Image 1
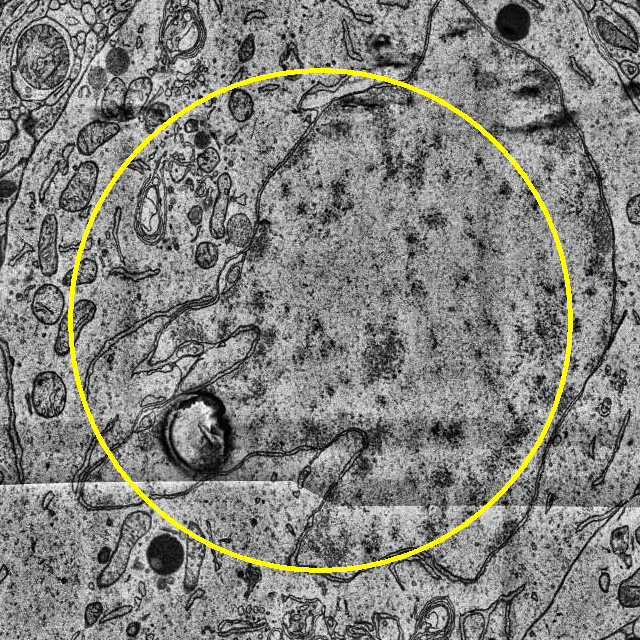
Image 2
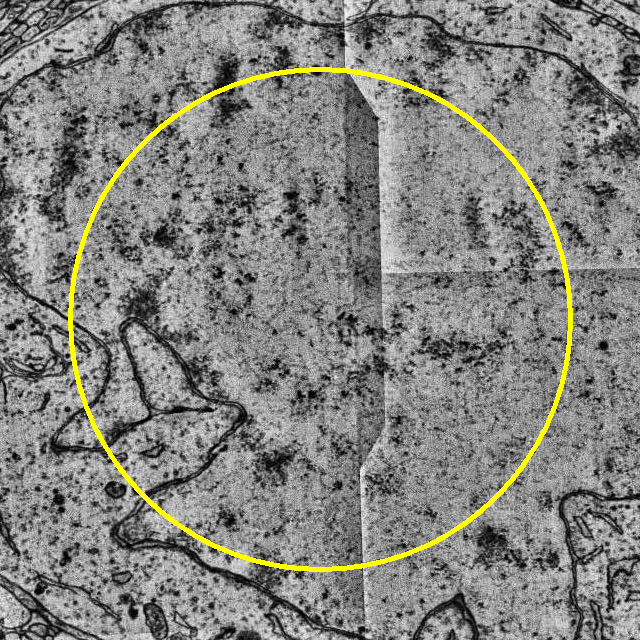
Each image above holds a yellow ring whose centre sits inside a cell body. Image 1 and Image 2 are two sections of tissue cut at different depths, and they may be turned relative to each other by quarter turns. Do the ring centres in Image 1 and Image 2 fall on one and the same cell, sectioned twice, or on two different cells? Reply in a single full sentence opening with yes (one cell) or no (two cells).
Yes, these two rings point to one cell rather than two.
